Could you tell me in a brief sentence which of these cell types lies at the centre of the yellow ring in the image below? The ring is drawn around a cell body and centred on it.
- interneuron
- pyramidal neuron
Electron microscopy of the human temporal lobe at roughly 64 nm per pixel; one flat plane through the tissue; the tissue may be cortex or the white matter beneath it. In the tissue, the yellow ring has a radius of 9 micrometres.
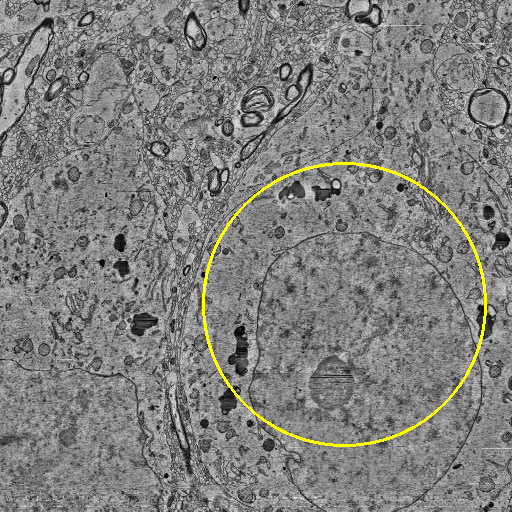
The cell centred in the ring is a pyramidal neuron.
